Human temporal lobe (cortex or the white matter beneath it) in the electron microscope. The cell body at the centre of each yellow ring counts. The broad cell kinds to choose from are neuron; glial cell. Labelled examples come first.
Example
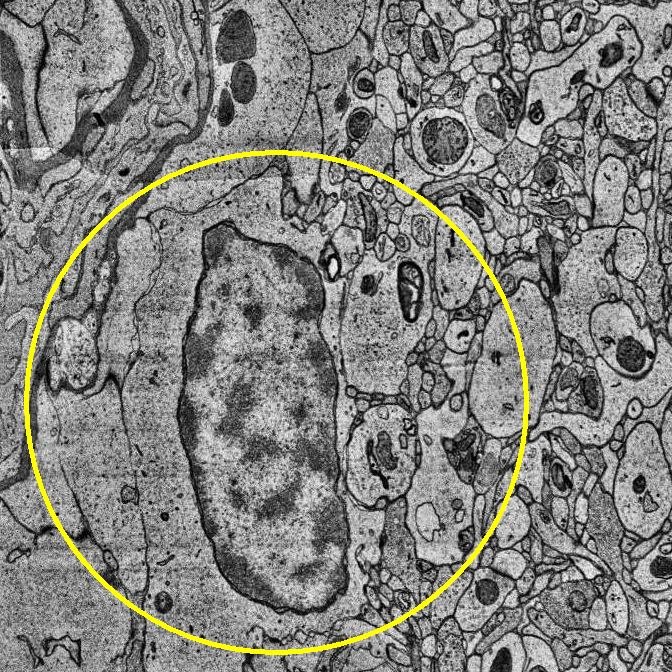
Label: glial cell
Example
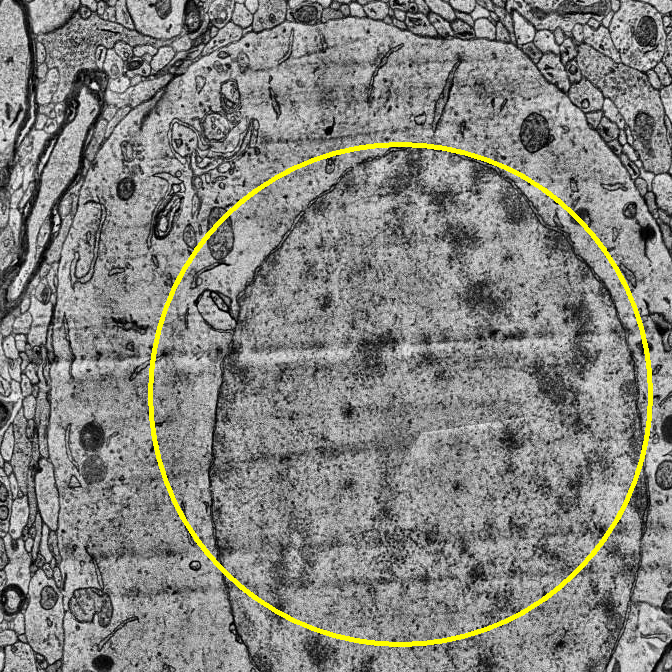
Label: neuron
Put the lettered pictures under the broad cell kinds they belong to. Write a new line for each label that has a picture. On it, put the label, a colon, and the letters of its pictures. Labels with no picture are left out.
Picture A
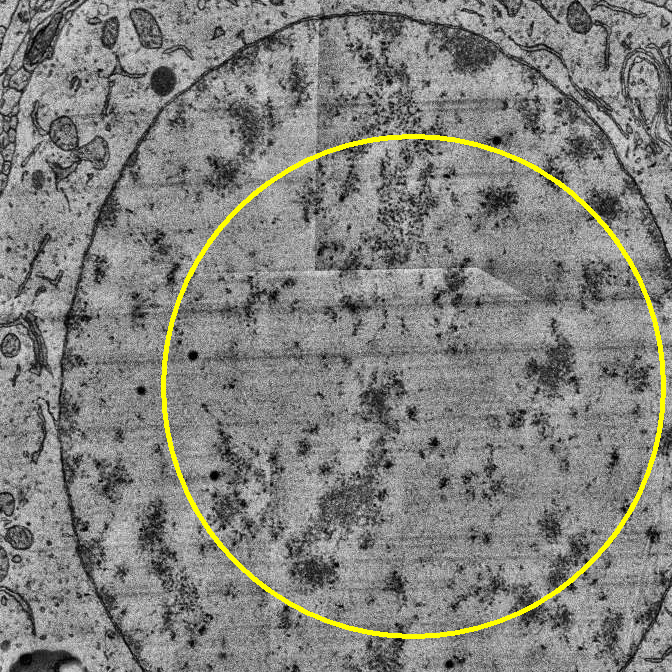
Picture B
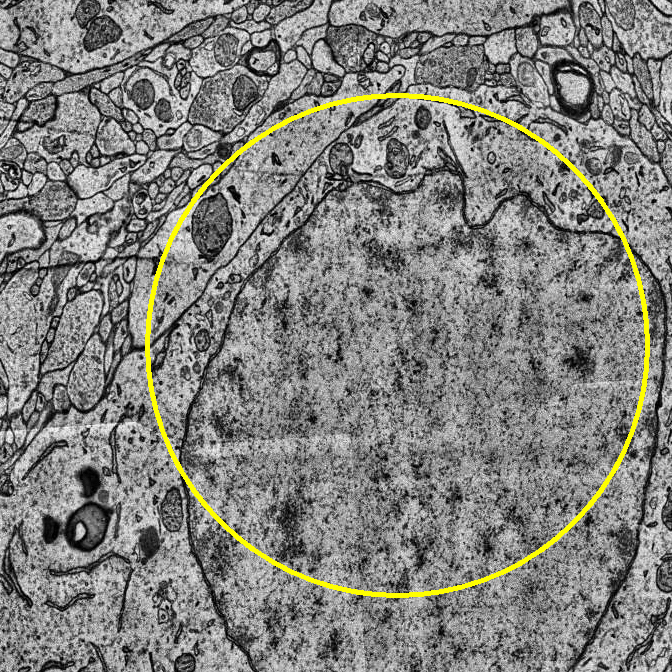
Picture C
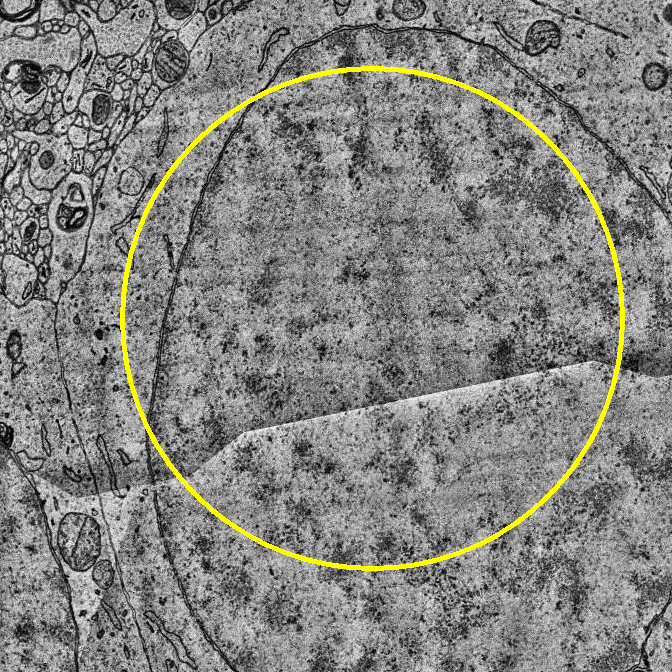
neuron: A, B, C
